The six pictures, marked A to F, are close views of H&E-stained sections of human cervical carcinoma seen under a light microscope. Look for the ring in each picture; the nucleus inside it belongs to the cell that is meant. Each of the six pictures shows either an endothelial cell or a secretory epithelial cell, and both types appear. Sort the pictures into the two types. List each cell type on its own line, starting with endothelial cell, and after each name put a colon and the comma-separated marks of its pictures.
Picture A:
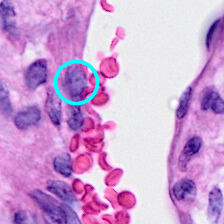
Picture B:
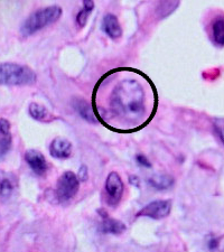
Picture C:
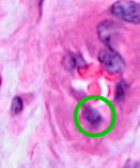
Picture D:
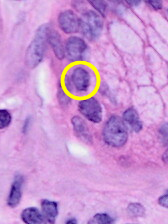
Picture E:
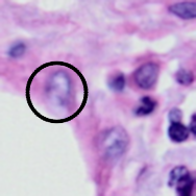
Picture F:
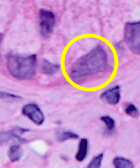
endothelial cell: A, B, C, E
secretory epithelial cell: D, F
